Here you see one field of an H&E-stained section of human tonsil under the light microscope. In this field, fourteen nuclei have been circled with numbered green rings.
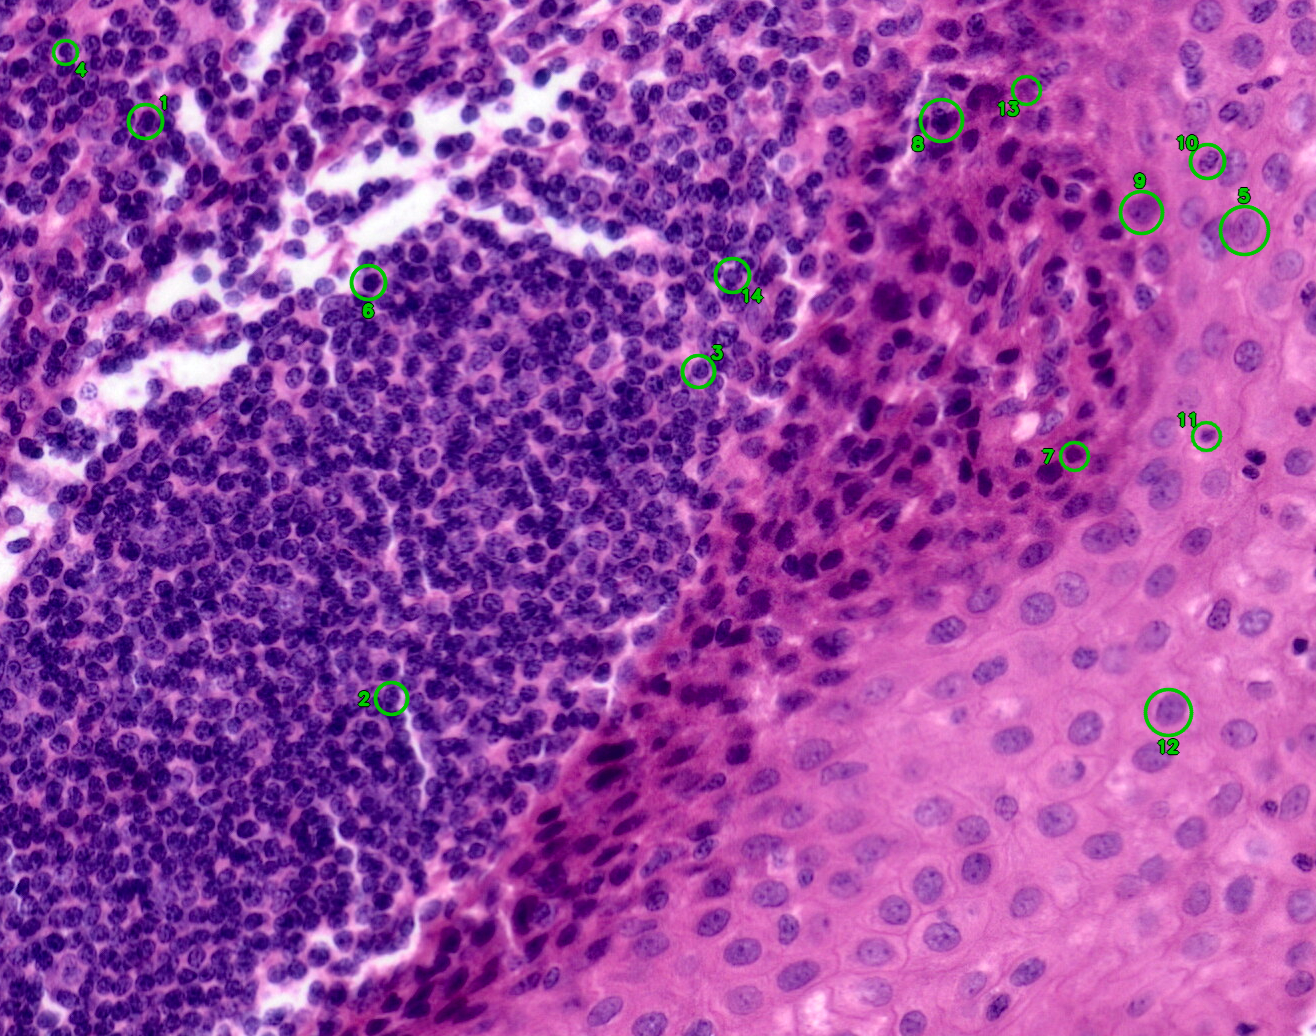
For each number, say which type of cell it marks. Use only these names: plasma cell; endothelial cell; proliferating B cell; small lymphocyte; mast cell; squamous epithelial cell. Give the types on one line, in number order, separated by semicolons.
small lymphocyte; small lymphocyte; small lymphocyte; small lymphocyte; squamous epithelial cell; small lymphocyte; squamous epithelial cell; squamous epithelial cell; squamous epithelial cell; squamous epithelial cell; squamous epithelial cell; squamous epithelial cell; squamous epithelial cell; small lymphocyte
